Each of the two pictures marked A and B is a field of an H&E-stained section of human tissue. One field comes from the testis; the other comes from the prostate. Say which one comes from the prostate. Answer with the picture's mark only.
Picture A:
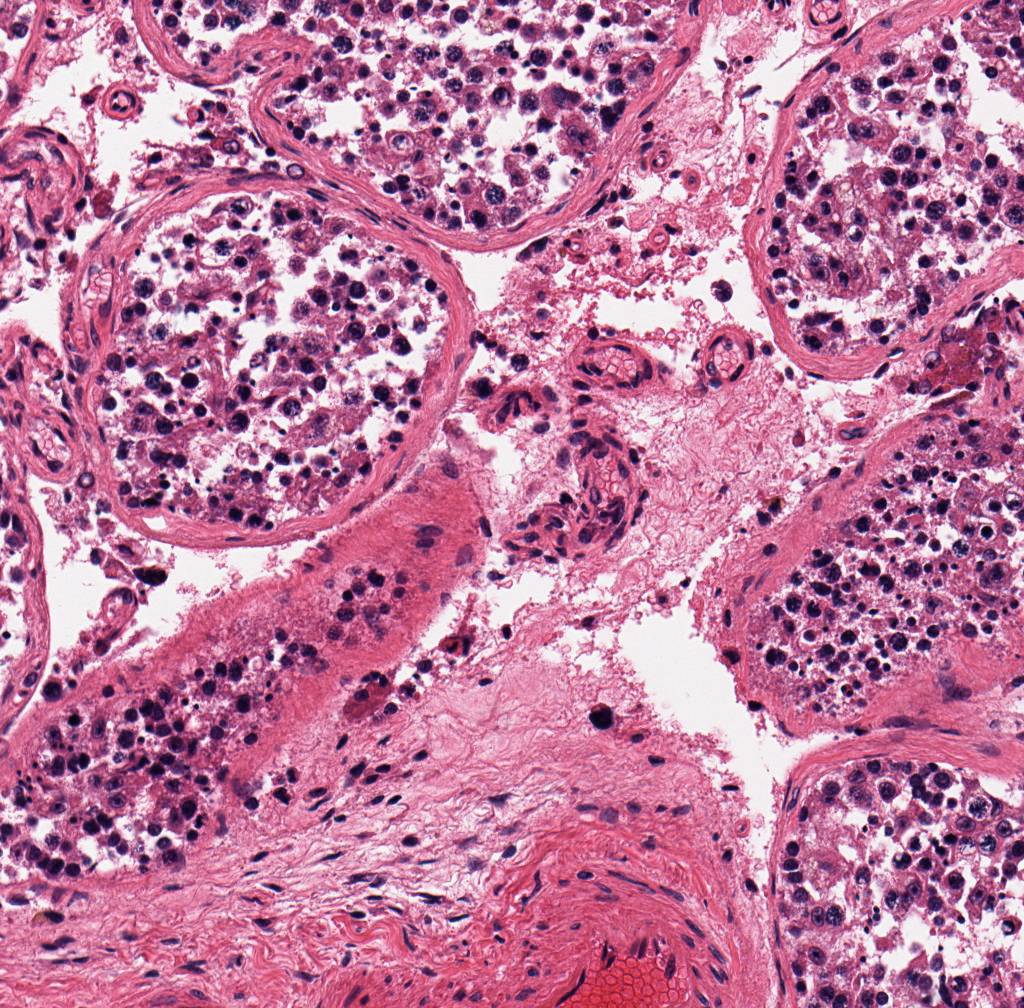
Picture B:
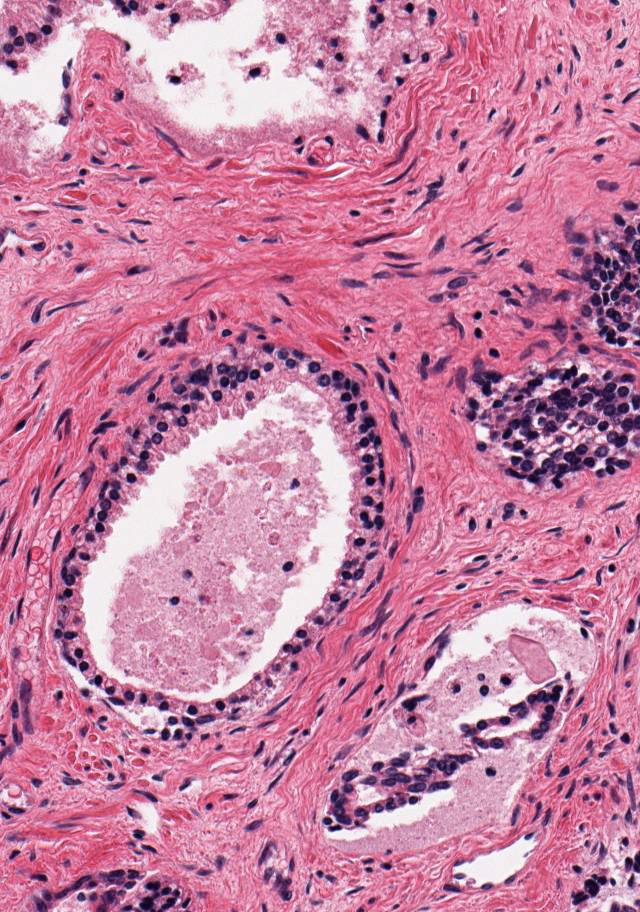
B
